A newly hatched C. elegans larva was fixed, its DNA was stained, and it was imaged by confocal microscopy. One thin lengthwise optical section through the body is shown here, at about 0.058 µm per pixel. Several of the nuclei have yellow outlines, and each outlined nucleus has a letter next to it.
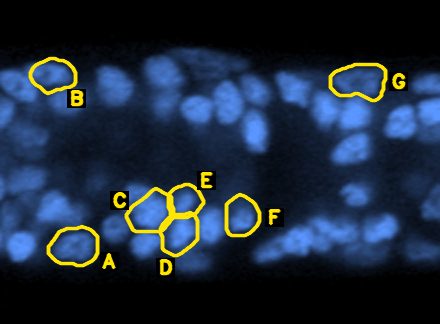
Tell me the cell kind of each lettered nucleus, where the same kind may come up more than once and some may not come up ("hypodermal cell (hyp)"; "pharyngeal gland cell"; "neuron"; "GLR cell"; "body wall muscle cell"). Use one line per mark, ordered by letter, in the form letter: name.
A: body wall muscle cell
B: body wall muscle cell
C: neuron
D: neuron
E: neuron
F: GLR cell
G: hypodermal cell (hyp)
